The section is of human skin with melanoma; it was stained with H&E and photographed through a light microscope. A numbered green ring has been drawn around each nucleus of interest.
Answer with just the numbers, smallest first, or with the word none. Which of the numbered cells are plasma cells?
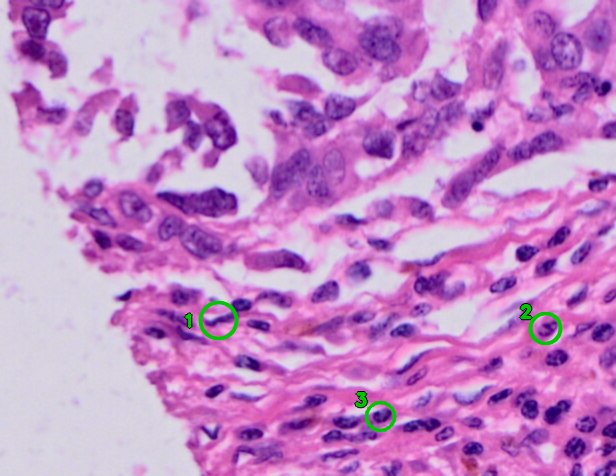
2, 3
